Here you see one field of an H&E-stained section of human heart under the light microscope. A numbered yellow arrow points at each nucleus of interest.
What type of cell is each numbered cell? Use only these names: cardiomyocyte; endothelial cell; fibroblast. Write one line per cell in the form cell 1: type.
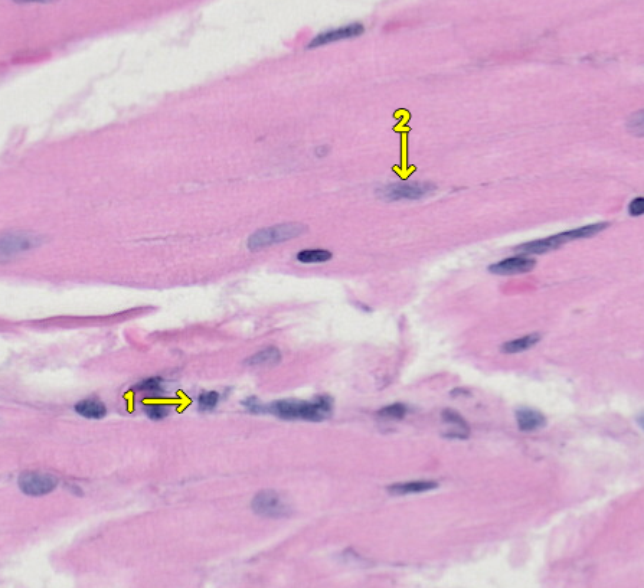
cell 1: fibroblast
cell 2: endothelial cell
